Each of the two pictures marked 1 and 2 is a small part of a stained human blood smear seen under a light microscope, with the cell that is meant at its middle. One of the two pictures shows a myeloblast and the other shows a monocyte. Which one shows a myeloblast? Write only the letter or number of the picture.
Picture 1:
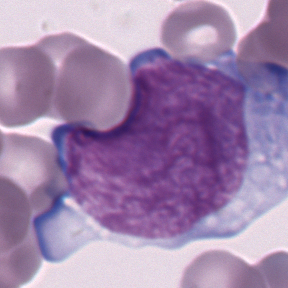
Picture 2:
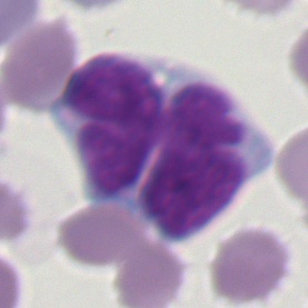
1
